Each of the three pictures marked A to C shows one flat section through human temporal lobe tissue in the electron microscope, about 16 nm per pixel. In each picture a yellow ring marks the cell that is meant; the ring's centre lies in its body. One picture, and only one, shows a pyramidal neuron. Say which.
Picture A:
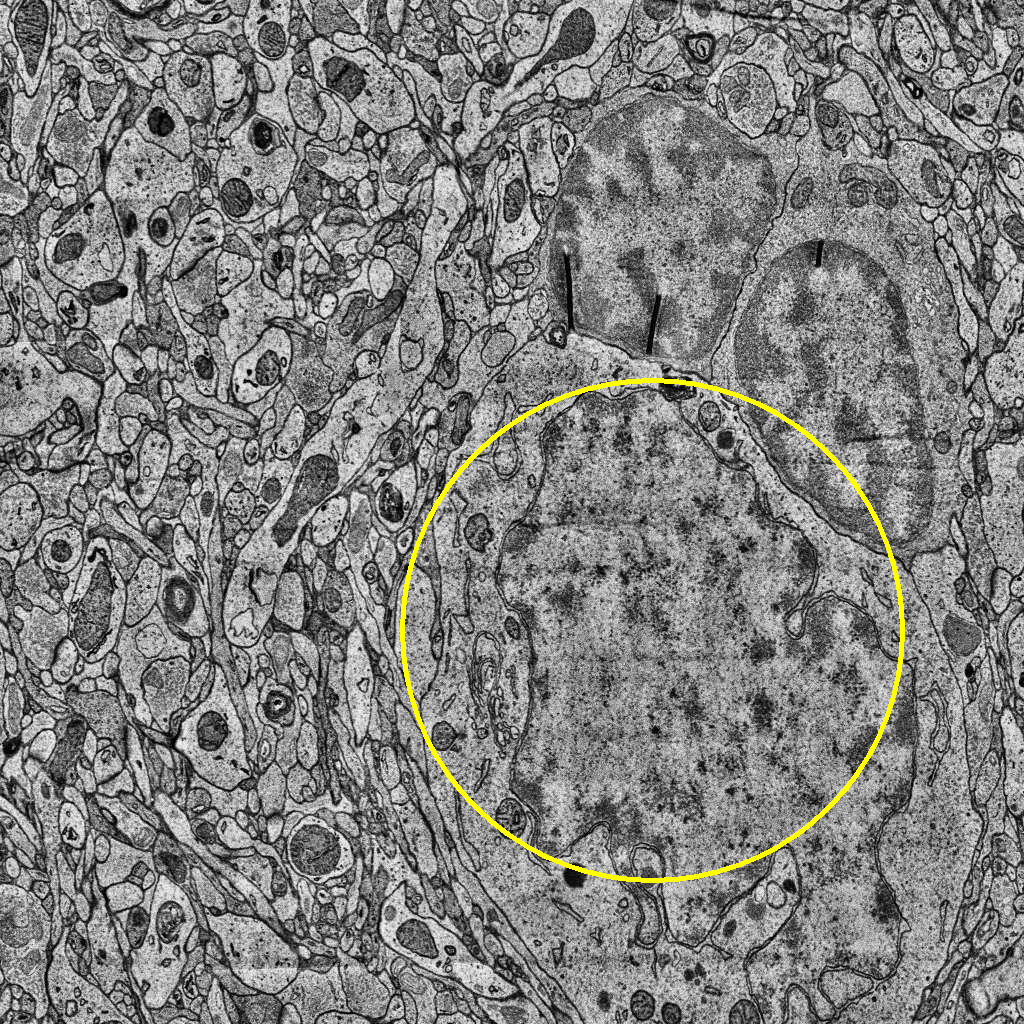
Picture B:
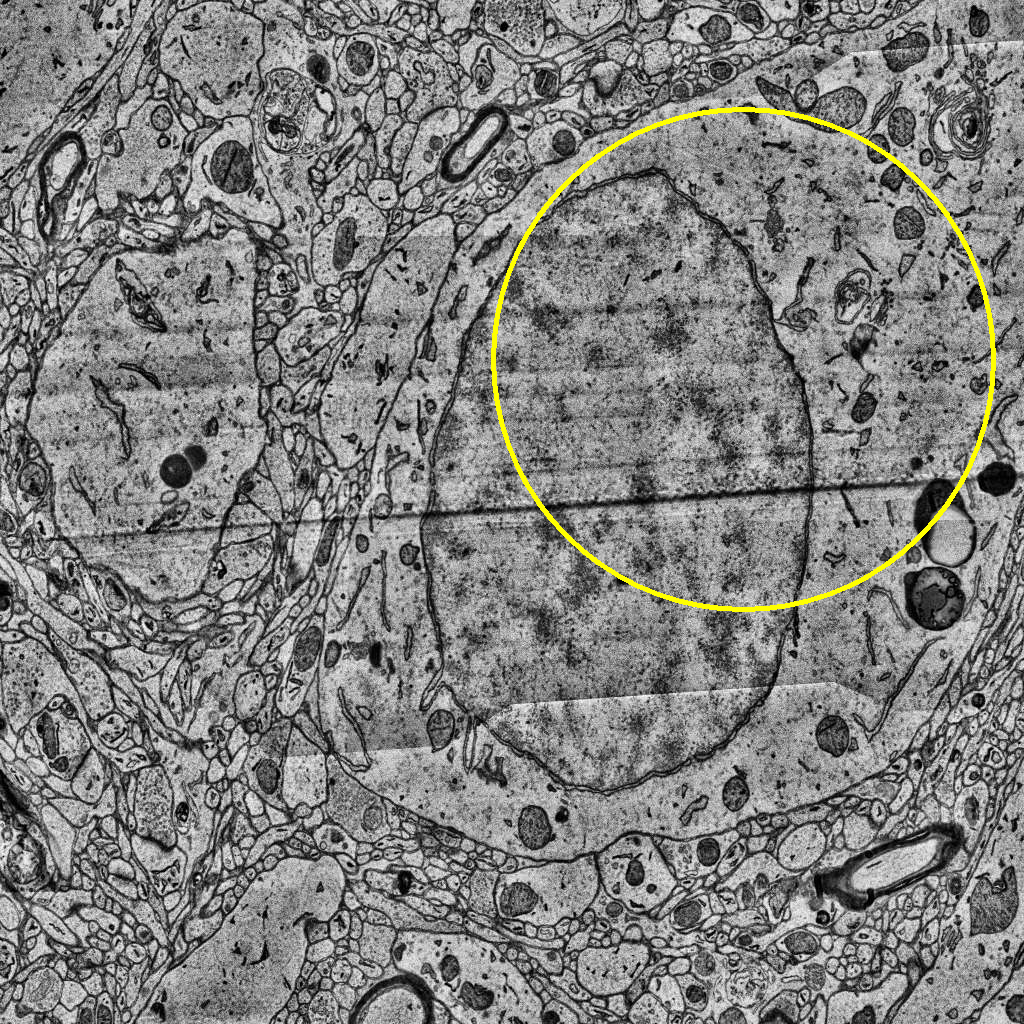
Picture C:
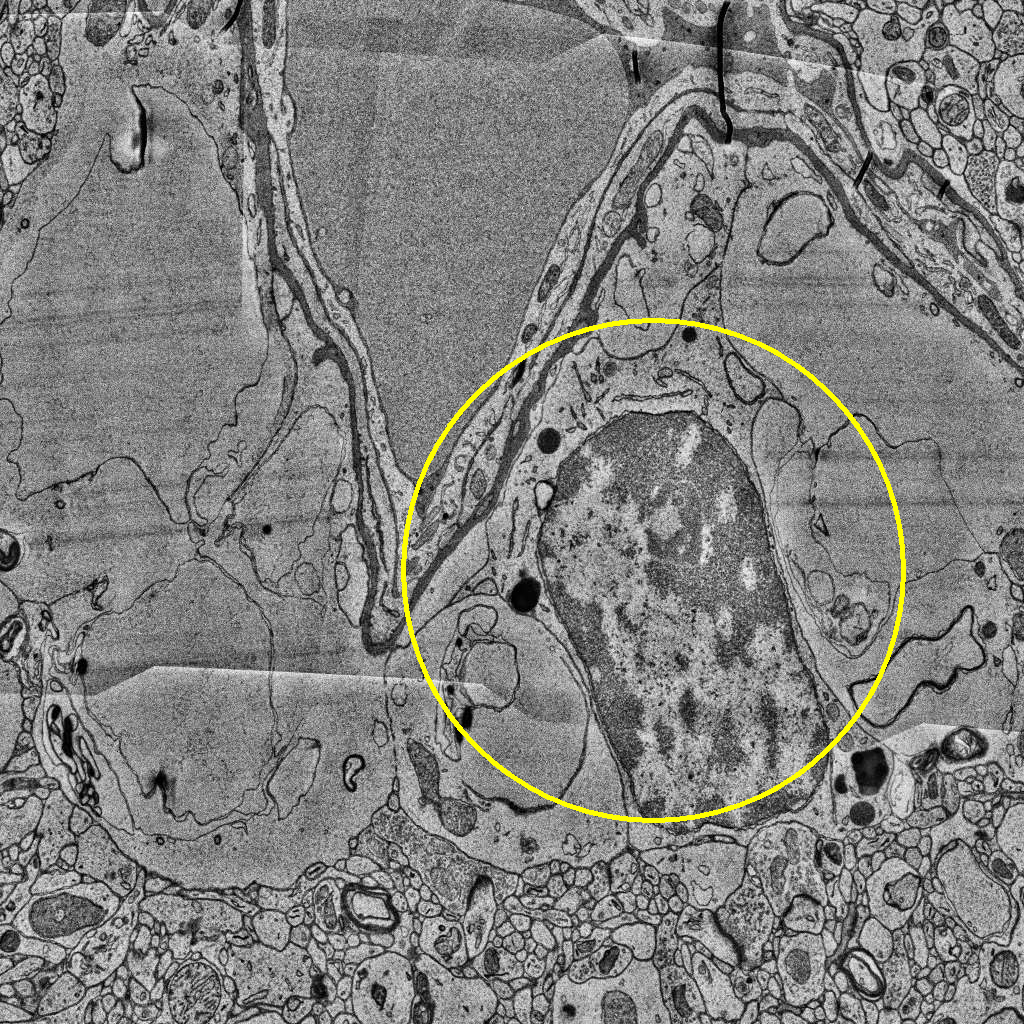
The pyramidal neuron is the one in picture B.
